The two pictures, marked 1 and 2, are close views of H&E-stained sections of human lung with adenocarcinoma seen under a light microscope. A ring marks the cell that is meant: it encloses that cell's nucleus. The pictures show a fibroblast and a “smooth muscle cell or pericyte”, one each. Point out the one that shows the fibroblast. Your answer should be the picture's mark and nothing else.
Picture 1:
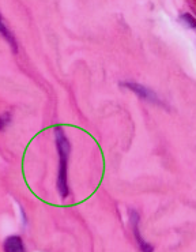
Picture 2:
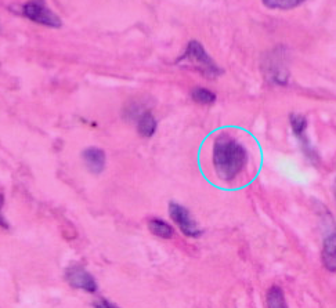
2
